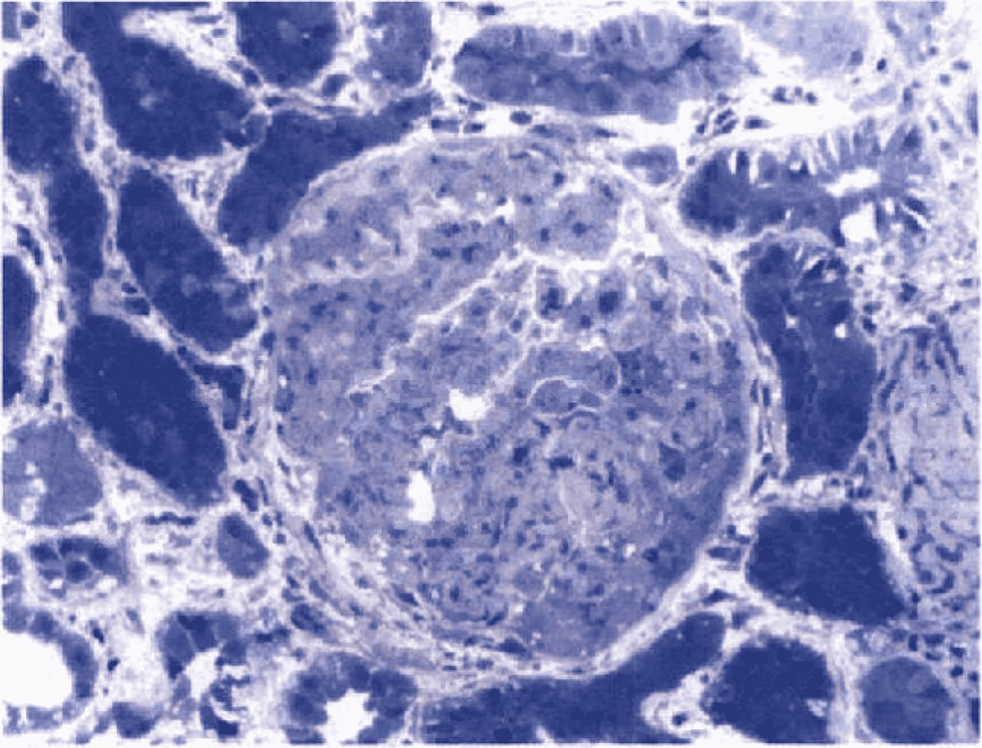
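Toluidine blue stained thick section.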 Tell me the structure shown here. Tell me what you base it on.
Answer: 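A large round, lobulated, cell-rich structure fills the centre of the field. It is bounded by a thin capsule-like rim and surrounded by tubular profiles.
Glomeruli.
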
